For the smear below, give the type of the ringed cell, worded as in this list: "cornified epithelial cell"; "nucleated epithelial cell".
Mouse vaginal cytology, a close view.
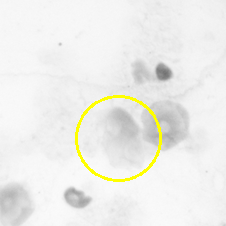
cornified epithelial cell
